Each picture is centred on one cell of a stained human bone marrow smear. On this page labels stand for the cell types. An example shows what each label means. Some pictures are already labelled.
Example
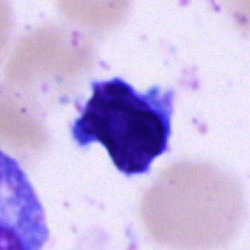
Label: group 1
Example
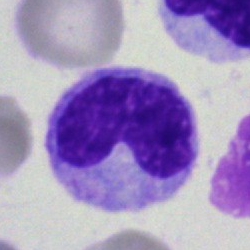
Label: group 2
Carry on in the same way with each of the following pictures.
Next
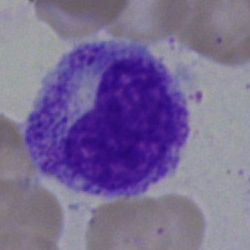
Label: group 2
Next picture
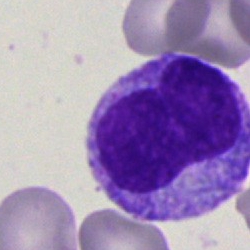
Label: group 2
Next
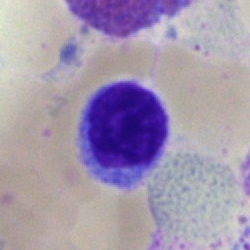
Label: group 1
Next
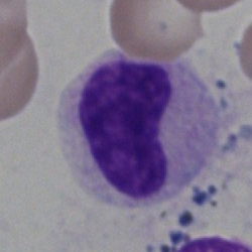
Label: group 2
